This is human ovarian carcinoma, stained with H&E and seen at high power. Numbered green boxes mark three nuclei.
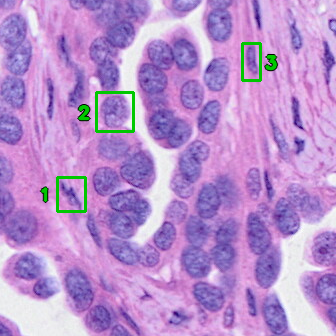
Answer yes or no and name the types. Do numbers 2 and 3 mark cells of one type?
No, cell 2 is a carcinoma cell, and in contrast cell 3 is a fibroblast.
